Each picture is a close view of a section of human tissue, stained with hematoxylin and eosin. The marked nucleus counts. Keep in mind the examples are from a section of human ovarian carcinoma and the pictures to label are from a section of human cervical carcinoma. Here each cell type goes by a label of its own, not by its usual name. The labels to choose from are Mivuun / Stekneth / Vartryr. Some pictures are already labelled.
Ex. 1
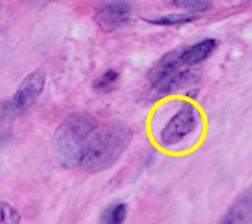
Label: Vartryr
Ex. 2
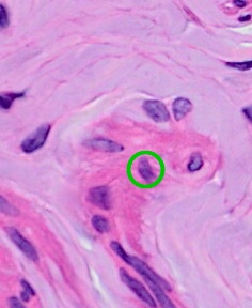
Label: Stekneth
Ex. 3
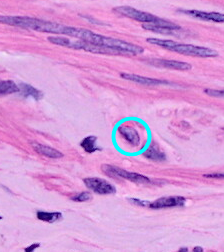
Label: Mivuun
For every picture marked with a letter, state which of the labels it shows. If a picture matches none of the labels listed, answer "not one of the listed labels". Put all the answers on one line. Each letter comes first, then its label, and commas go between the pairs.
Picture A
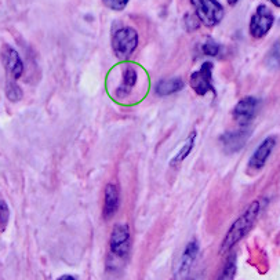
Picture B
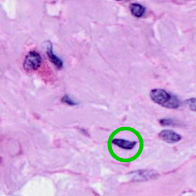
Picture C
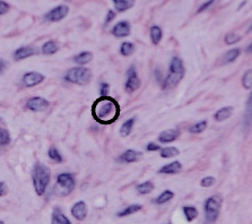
A Vartryr, B not one of the listed labels, C Stekneth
